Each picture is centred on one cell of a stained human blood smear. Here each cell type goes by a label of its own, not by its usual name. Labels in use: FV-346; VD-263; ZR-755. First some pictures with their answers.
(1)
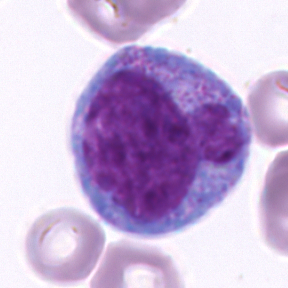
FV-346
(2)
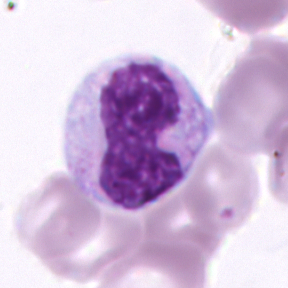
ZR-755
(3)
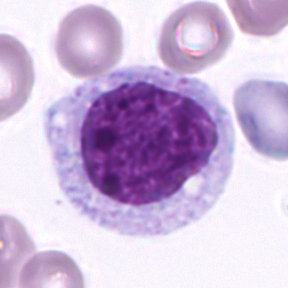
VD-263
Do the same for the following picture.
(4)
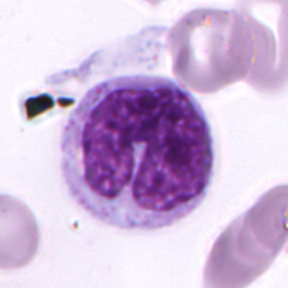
ZR-755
